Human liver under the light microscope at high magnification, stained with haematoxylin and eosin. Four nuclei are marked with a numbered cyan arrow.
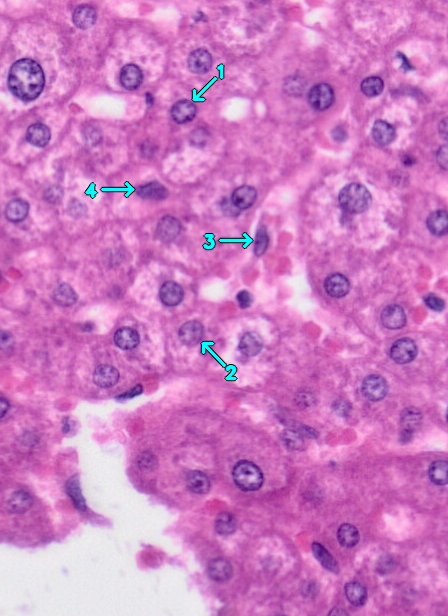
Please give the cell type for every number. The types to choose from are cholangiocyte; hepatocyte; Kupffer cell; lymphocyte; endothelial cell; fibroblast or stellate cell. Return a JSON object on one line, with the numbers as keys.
{"1": "hepatocyte", "2": "hepatocyte", "3": "Kupffer cell", "4": "Kupffer cell"}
